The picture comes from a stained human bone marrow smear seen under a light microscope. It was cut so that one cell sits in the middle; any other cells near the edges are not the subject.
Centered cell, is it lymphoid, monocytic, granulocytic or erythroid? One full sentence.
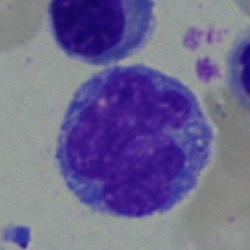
In this crop, the central cell belongs to the monocytic lineage.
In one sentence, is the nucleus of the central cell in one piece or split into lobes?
If you check the nucleus, you will find it split into two or more lobes.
